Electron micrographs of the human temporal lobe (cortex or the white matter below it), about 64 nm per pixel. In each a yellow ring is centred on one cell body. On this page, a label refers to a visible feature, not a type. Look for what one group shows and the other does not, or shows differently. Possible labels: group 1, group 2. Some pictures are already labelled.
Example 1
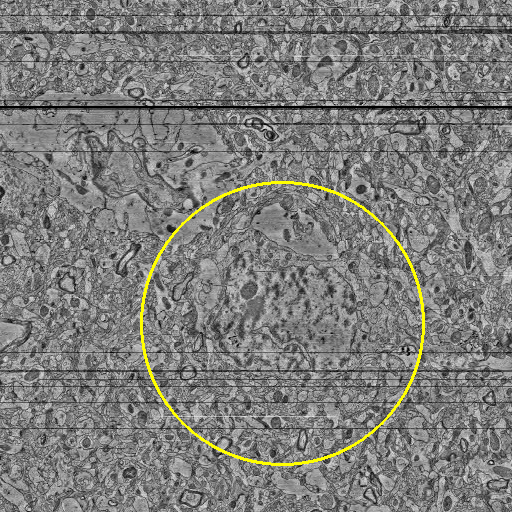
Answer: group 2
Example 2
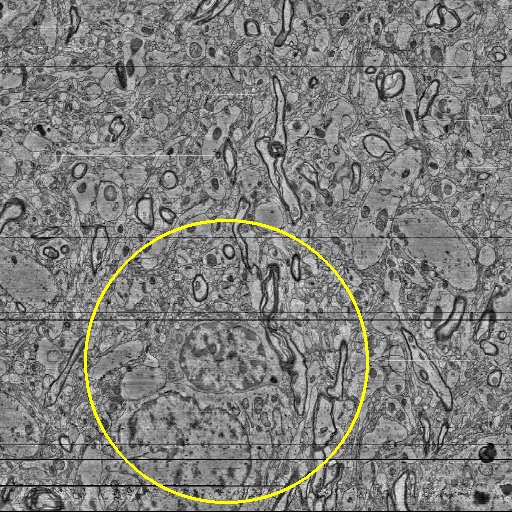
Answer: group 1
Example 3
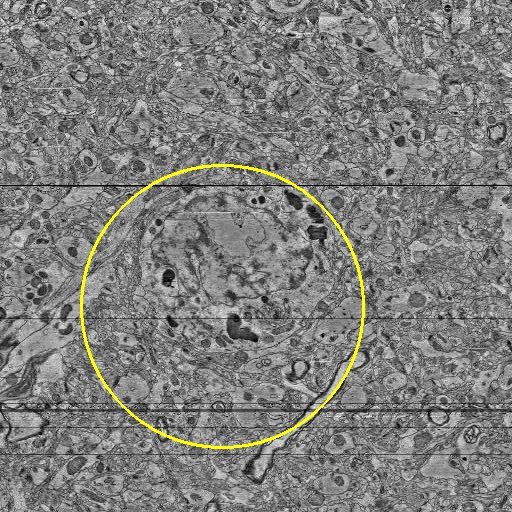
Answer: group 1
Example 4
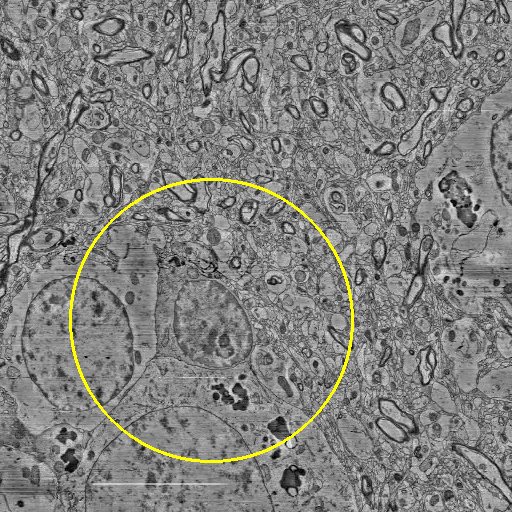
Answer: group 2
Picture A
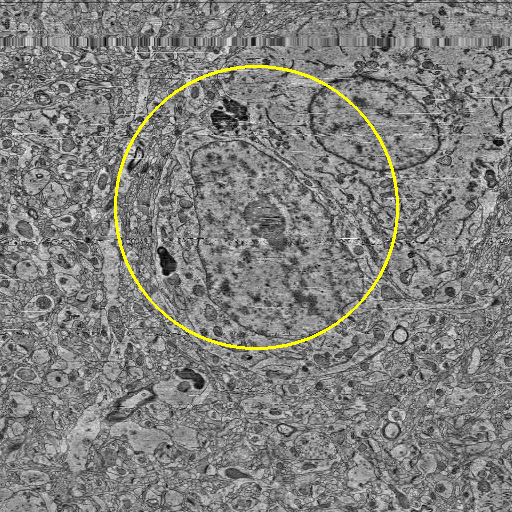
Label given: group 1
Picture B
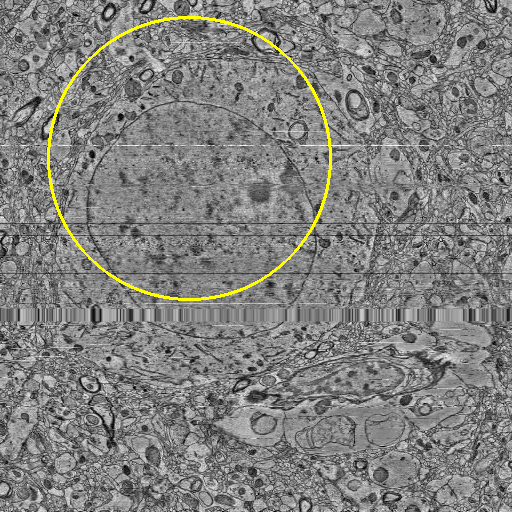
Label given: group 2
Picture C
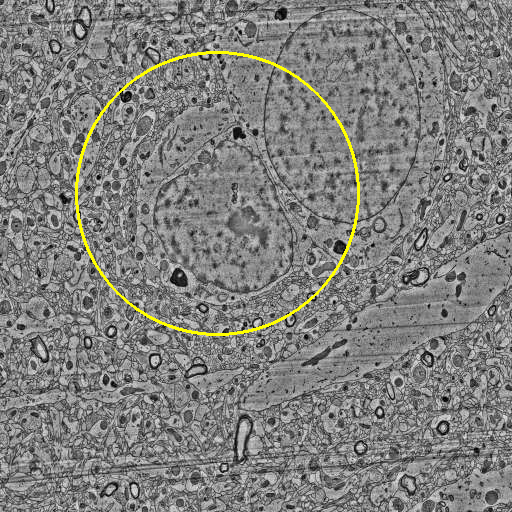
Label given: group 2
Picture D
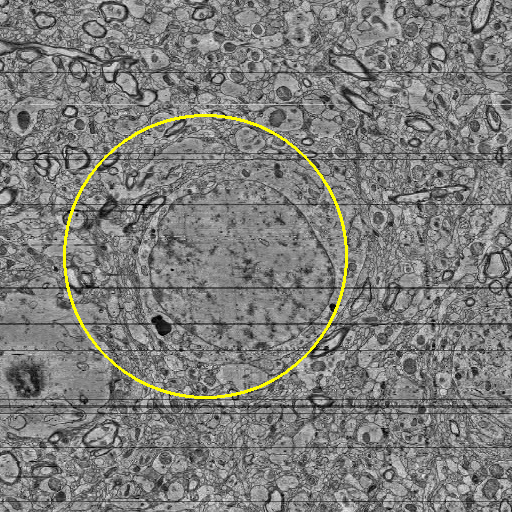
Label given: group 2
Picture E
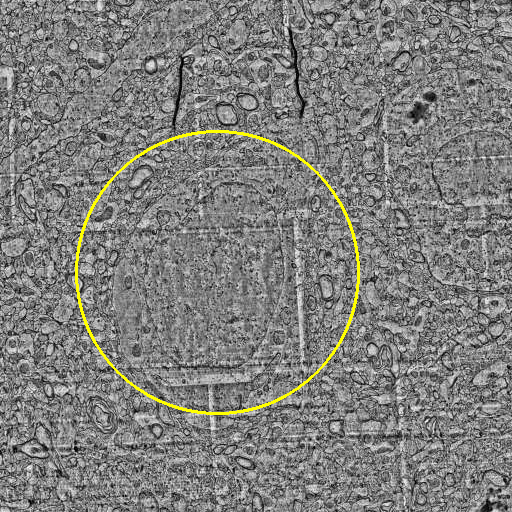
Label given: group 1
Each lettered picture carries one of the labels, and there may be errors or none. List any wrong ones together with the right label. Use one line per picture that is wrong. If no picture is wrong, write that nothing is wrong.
A: not group 1 but group 2
D: not group 2 but group 1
